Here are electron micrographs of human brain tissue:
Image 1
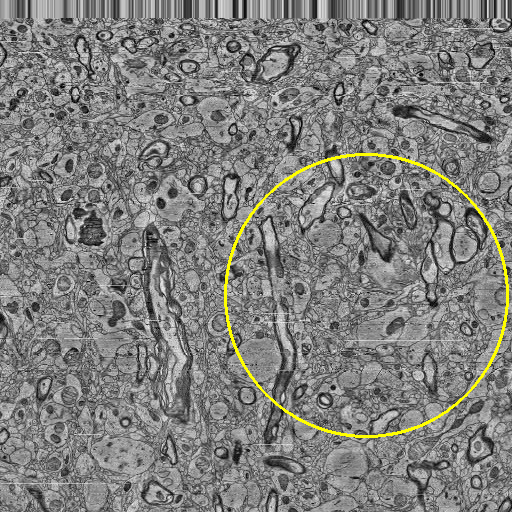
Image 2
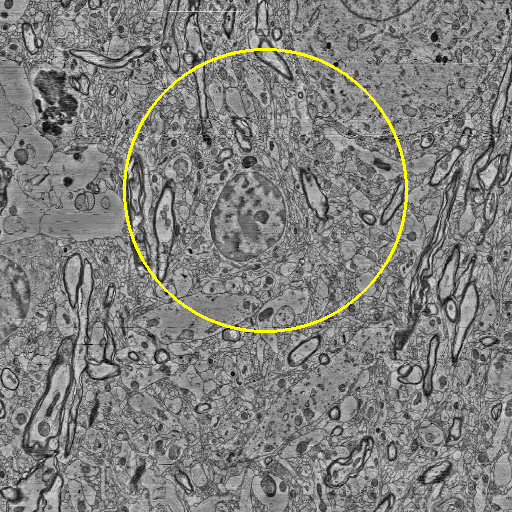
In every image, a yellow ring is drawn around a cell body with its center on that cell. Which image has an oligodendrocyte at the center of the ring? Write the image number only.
1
